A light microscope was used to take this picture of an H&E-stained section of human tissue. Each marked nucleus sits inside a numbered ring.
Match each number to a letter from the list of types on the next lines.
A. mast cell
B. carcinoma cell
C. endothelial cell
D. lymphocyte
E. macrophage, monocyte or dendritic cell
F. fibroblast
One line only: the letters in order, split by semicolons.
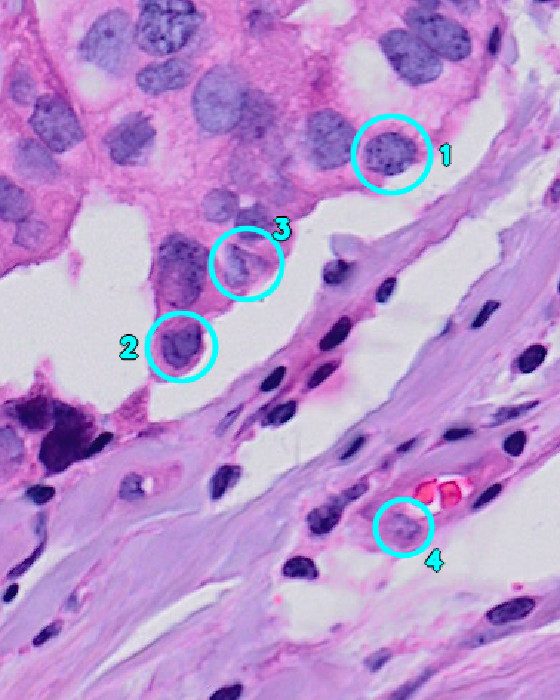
B; B; B; C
